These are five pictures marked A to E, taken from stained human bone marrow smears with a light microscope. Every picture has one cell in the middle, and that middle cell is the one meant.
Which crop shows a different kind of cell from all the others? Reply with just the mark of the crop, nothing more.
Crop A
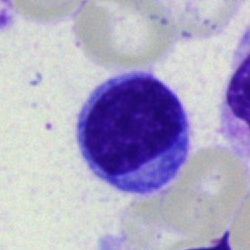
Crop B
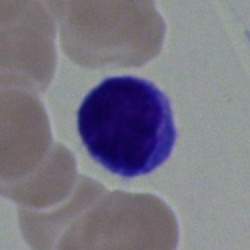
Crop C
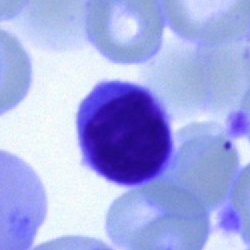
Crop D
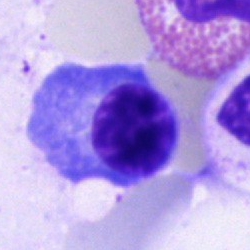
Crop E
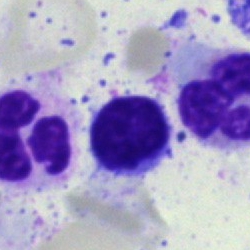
D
